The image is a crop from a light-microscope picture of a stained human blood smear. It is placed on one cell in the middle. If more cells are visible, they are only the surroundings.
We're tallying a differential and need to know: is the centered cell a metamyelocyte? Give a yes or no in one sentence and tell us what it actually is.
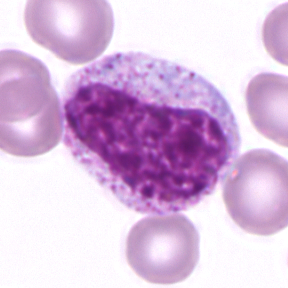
Yes, the central cell is to be recorded as a metamyelocyte.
